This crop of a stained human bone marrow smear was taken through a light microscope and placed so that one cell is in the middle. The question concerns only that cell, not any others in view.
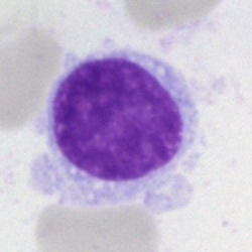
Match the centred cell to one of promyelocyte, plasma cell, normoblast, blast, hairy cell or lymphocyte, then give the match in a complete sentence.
The cell the crop is centered on is a hairy cell.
